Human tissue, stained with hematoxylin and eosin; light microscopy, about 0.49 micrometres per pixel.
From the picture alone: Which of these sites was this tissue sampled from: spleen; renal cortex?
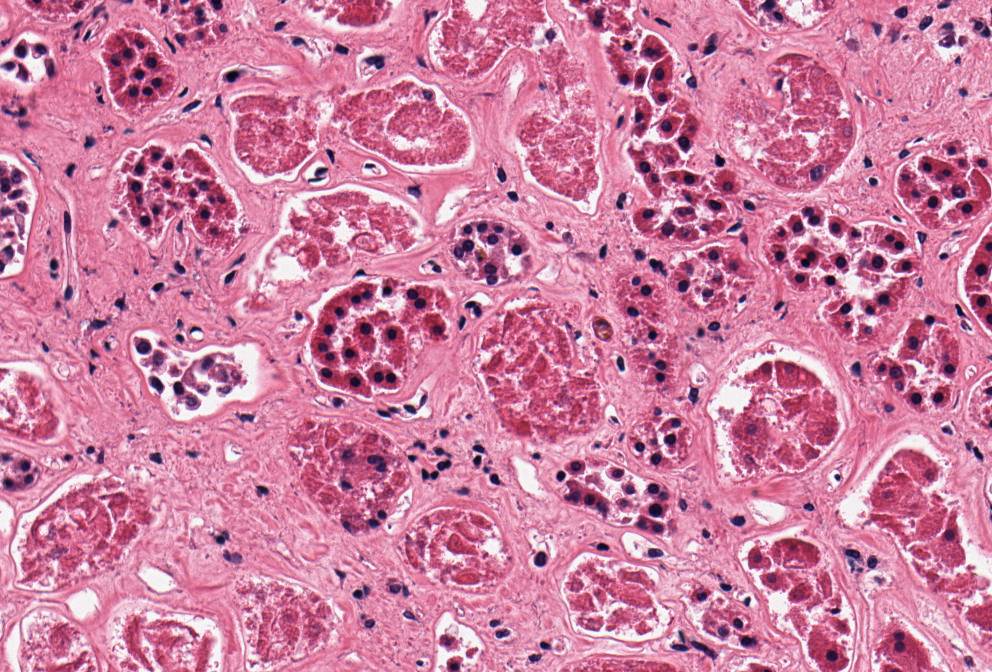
renal cortex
